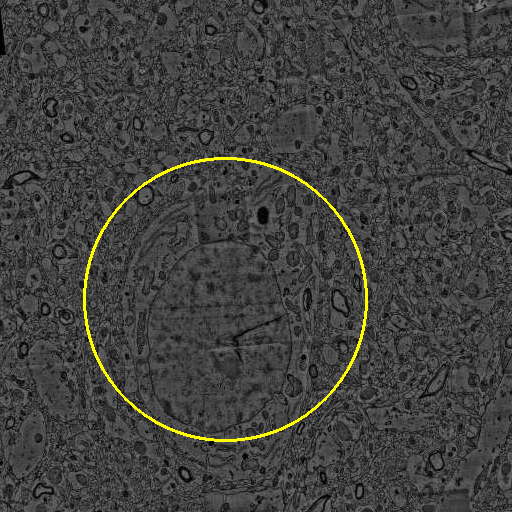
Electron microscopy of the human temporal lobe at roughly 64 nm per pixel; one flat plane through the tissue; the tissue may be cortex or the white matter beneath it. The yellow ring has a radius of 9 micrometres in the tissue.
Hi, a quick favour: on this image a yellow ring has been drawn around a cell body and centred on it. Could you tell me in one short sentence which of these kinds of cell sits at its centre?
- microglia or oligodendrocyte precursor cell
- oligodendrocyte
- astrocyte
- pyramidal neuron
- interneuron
The ring is centred on an interneuron.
